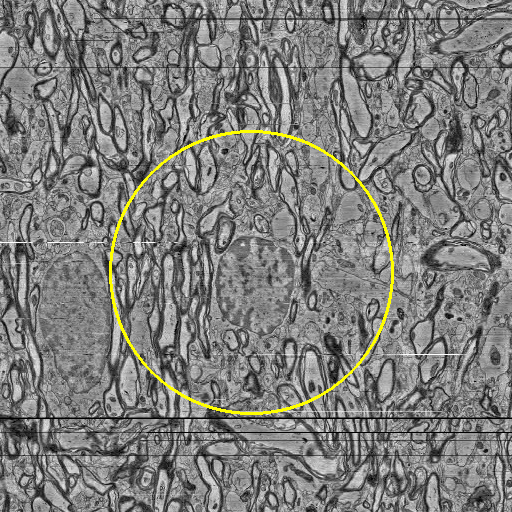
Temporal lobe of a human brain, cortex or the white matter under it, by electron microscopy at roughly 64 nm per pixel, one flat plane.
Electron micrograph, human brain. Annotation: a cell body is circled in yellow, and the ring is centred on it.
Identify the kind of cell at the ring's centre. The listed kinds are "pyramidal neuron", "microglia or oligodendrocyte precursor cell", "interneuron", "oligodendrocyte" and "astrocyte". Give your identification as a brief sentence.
The circled cell body is that of a microglial cell or oligodendrocyte precursor cell.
